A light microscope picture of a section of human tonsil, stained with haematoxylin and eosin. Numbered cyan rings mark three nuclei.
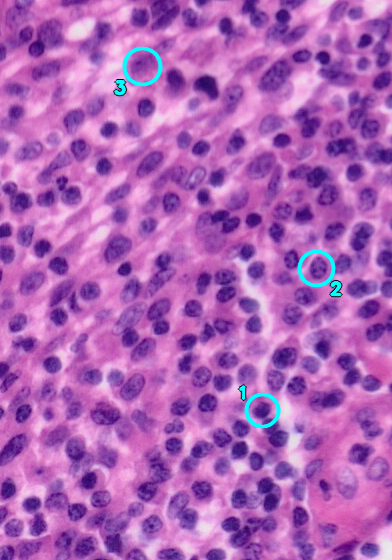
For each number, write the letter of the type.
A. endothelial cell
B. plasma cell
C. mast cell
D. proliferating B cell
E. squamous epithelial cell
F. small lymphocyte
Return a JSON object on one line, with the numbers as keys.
{"1": "B", "2": "B", "3": "E"}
